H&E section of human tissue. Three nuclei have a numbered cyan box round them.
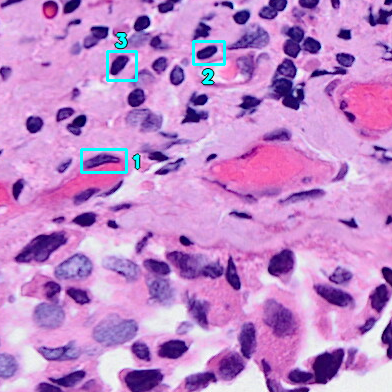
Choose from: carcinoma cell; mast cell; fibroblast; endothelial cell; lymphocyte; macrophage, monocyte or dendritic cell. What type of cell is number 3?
lymphocyte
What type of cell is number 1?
endothelial cell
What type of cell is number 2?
lymphocyte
